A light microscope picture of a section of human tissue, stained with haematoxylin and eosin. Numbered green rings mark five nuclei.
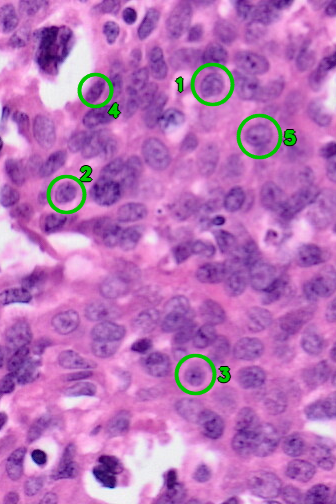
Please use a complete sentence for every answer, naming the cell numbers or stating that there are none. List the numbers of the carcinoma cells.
Each of the cells numbered 1, 4 and 5 is among the carcinoma cells.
